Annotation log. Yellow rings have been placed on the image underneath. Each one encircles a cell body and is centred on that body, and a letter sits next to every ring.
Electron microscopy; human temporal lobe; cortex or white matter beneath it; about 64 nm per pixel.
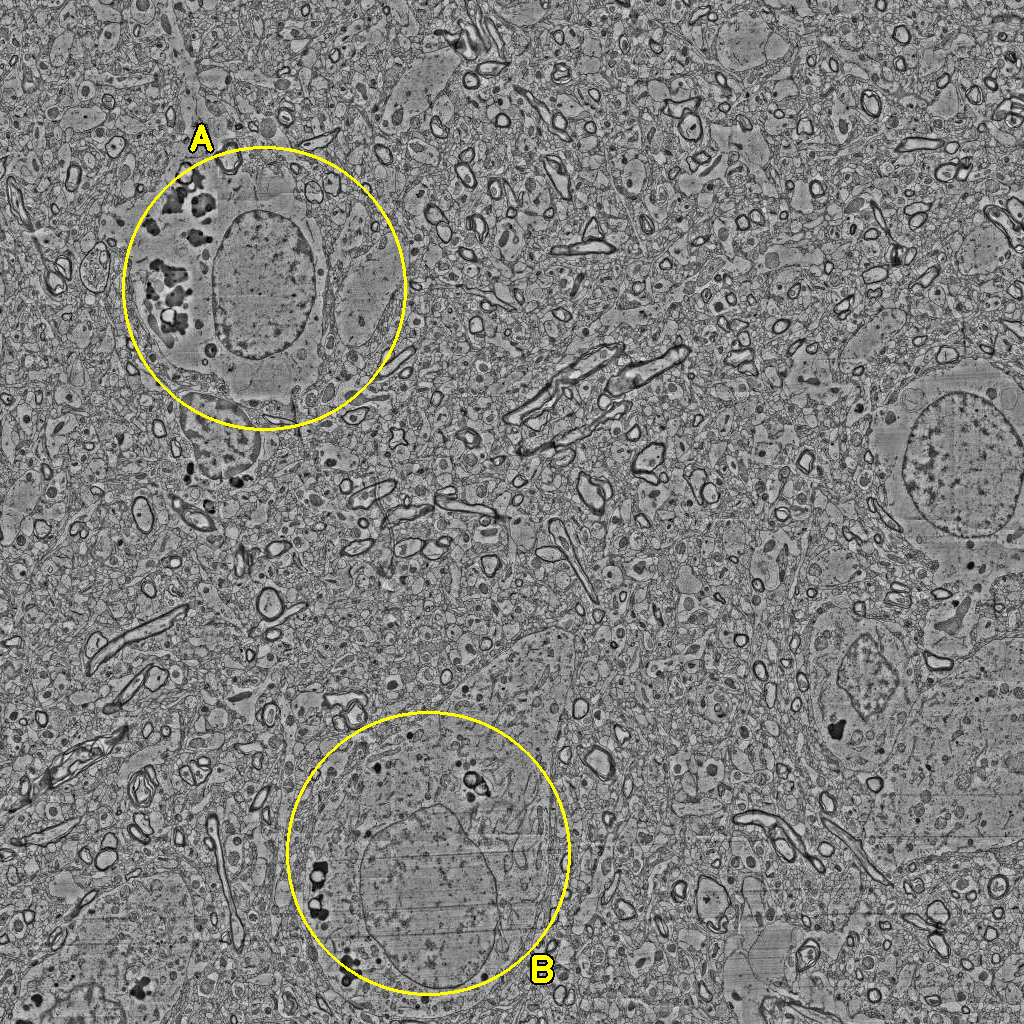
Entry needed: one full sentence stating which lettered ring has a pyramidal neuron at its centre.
The cell asked for sits at the centre of Ring B in the picture.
